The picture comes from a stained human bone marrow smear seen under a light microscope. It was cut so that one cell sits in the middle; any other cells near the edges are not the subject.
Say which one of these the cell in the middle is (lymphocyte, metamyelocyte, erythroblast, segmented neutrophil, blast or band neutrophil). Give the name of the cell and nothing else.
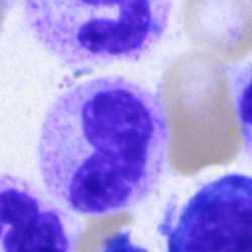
band neutrophil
